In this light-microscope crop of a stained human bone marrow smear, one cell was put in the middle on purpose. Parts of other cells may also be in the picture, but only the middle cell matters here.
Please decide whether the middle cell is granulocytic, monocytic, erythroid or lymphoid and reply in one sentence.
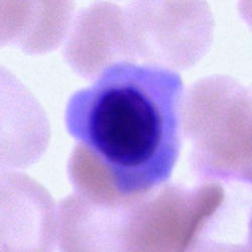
In terms of lineage, the cell at the center is erythroid.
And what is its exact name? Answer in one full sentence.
The central element of this crop is a cell, namely an erythroblast.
